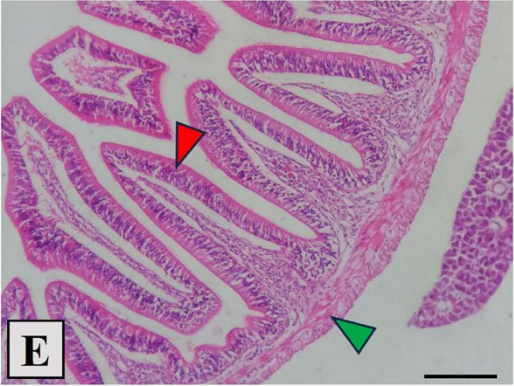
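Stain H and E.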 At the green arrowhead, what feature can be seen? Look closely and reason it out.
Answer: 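A pink fibrous-muscular band lies at the outer margin. Mucosal folds arise from its inner side. On this evidence: intestinal wall.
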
